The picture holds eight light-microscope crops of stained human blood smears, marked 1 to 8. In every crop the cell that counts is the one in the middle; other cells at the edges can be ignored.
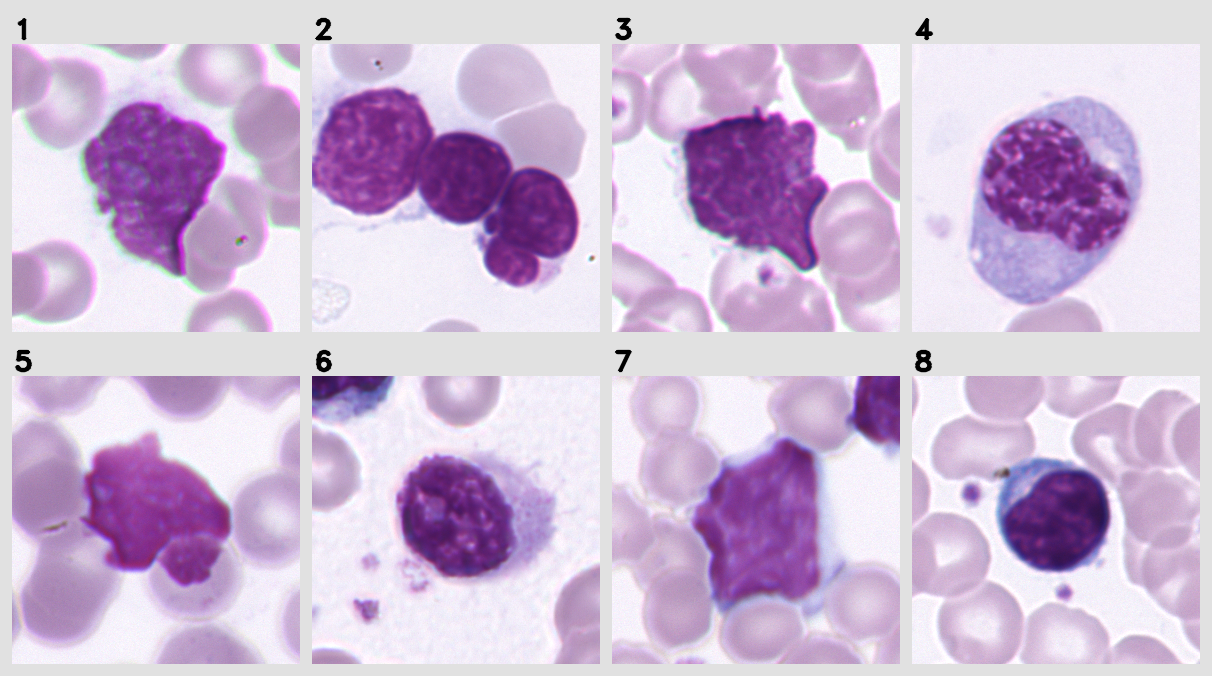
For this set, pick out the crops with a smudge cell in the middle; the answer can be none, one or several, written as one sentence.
The middle cells in the crops marked 1, 3 and 5 are smudge cells.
